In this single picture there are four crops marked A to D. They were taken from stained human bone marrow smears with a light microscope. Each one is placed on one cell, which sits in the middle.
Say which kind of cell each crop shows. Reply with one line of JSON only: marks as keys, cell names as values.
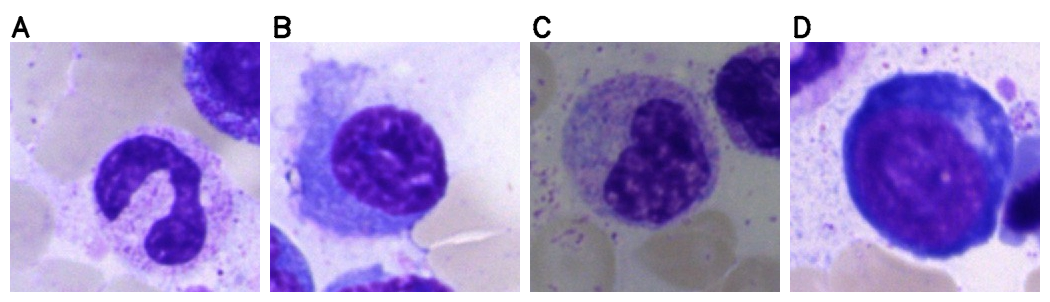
{"A": "band neutrophil", "B": "plasma cell", "C": "metamyelocyte", "D": "proerythroblast"}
